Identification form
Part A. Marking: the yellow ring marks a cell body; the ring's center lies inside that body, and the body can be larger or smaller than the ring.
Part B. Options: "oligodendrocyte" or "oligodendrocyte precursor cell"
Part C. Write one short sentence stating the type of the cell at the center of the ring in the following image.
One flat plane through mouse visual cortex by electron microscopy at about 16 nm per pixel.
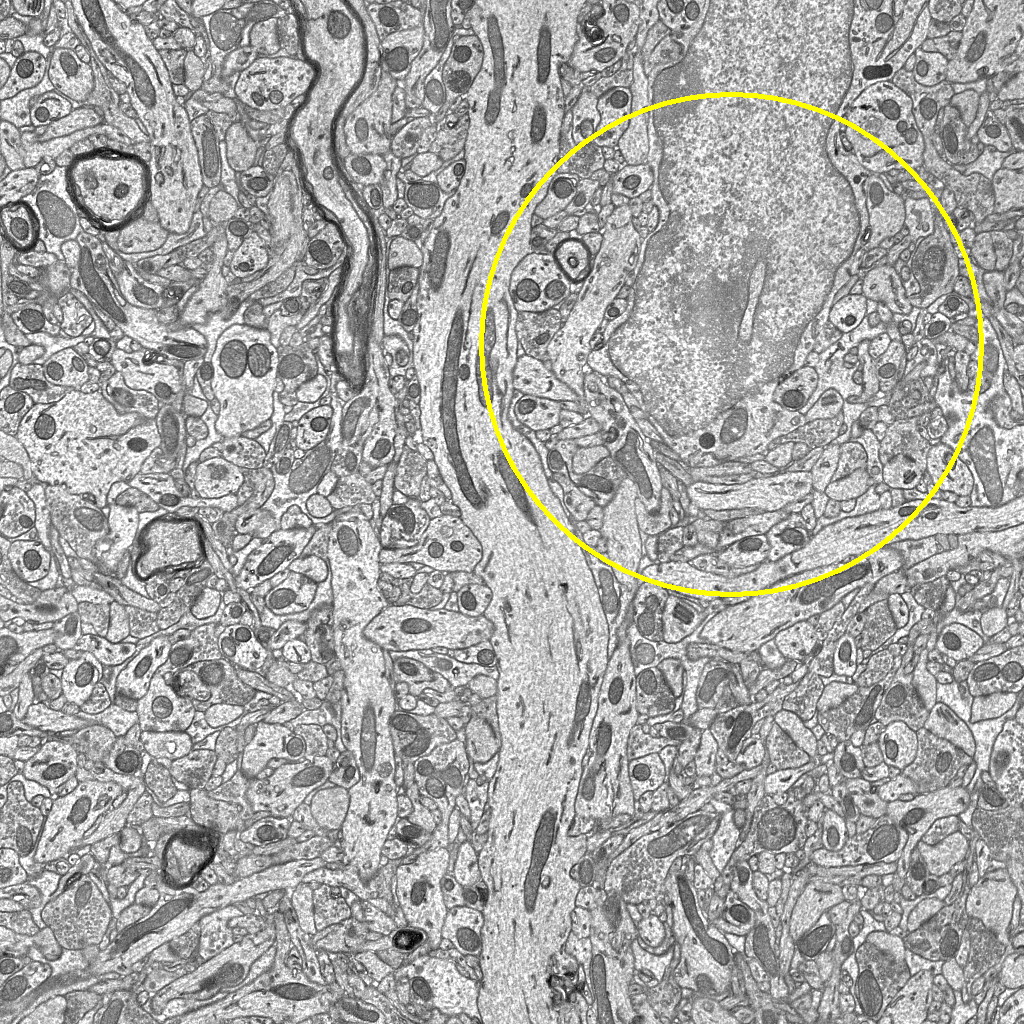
The center of the ring holds an oligodendrocyte precursor cell.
